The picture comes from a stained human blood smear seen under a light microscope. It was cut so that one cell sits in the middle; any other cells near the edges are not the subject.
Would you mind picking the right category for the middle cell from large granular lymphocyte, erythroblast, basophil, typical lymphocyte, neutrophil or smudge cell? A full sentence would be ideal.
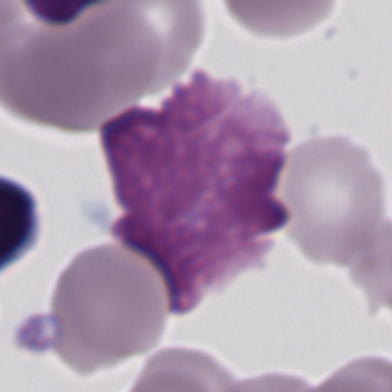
The cell around which this crop is centred is a smudge cell.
